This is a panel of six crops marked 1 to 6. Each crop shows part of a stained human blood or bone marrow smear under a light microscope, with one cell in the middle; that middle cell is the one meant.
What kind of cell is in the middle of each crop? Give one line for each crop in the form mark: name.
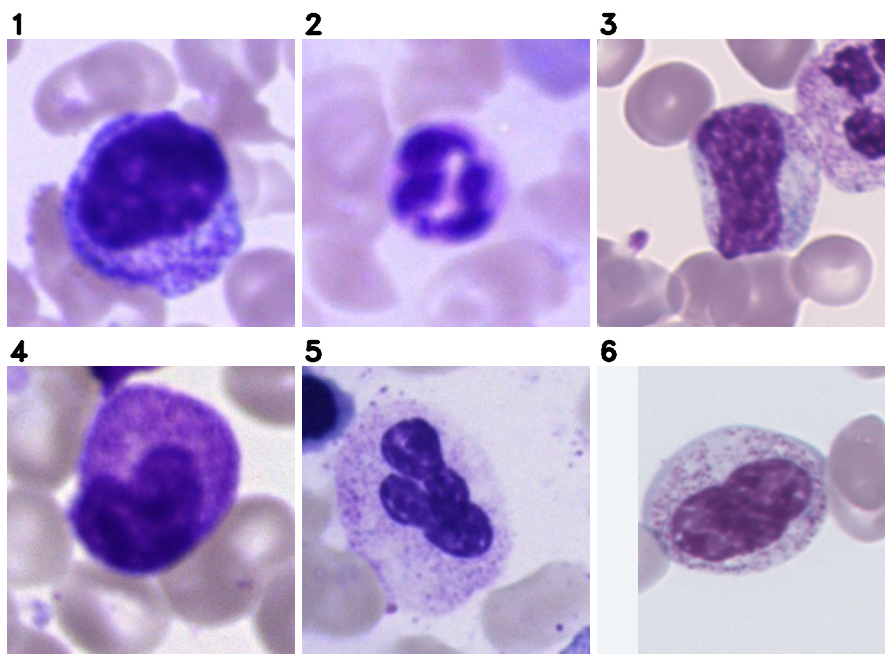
1: myelocyte
2: segmented neutrophil
3: metamyelocyte
4: metamyelocyte
5: segmented neutrophil
6: metamyelocyte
